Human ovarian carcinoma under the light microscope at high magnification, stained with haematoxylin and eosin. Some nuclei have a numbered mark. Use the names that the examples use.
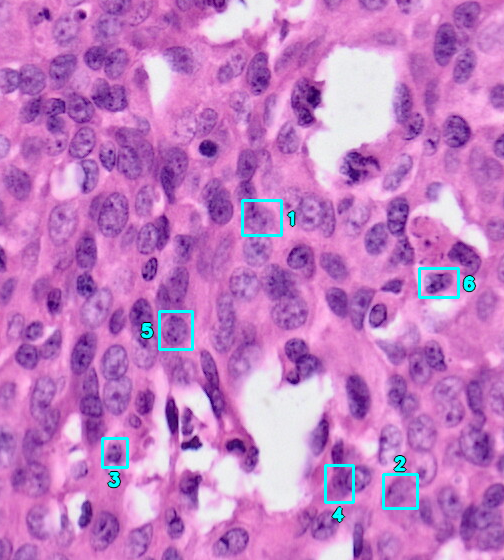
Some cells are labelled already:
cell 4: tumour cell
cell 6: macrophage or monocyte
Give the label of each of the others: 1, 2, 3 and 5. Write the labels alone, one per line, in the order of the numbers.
tumour cell
tumour cell
macrophage or monocyte
tumour cell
